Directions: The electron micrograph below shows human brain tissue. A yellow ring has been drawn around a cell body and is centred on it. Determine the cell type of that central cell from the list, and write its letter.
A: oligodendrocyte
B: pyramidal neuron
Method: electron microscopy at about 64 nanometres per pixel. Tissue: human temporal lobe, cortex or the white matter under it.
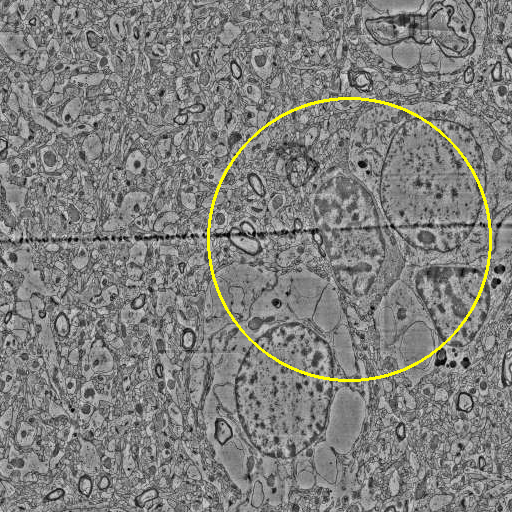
A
